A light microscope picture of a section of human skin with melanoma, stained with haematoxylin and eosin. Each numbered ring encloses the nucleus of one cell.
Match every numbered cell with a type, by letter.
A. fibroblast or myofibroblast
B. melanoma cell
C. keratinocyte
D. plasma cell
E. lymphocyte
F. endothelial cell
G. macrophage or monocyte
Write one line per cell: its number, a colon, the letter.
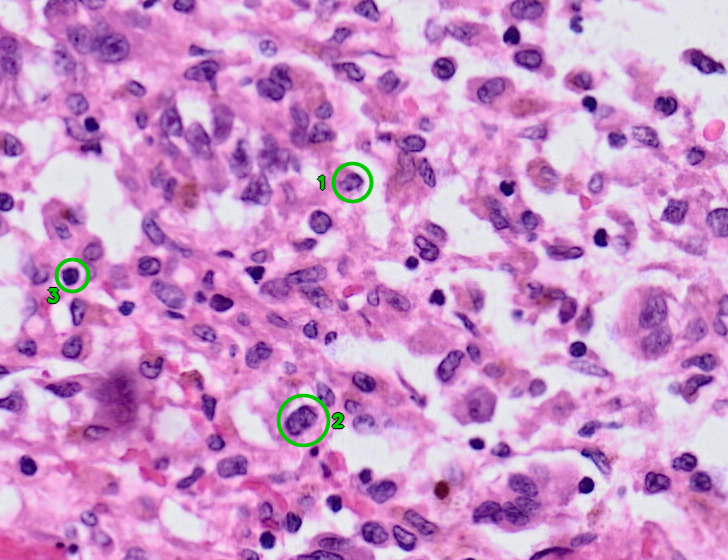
1: G
2: B
3: E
